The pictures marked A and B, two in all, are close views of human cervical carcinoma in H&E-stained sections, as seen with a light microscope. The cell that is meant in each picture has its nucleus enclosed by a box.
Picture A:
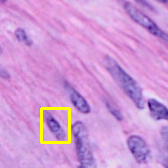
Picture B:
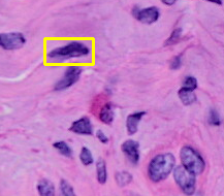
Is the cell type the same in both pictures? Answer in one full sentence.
No; the cell in picture A is a smooth muscle cell, while the one in picture B is a fibroblast.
